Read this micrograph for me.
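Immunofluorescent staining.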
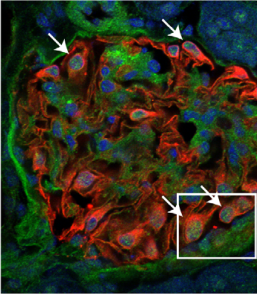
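This is a kidney glomerulus, a round tuft of capillary loops, with podocytes sitting on its outer surface. The red staining traces the loops and outlines the podocytes, whose large nuclei bulge out at the edge of the tuft, while green staining is spread through the cells of the tuft and the surrounding tissue. Where red and green overlap in the podocyte bodies the colour turns orange-yellow.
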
